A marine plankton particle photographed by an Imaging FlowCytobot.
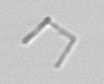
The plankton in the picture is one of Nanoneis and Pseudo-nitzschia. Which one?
Nanoneis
